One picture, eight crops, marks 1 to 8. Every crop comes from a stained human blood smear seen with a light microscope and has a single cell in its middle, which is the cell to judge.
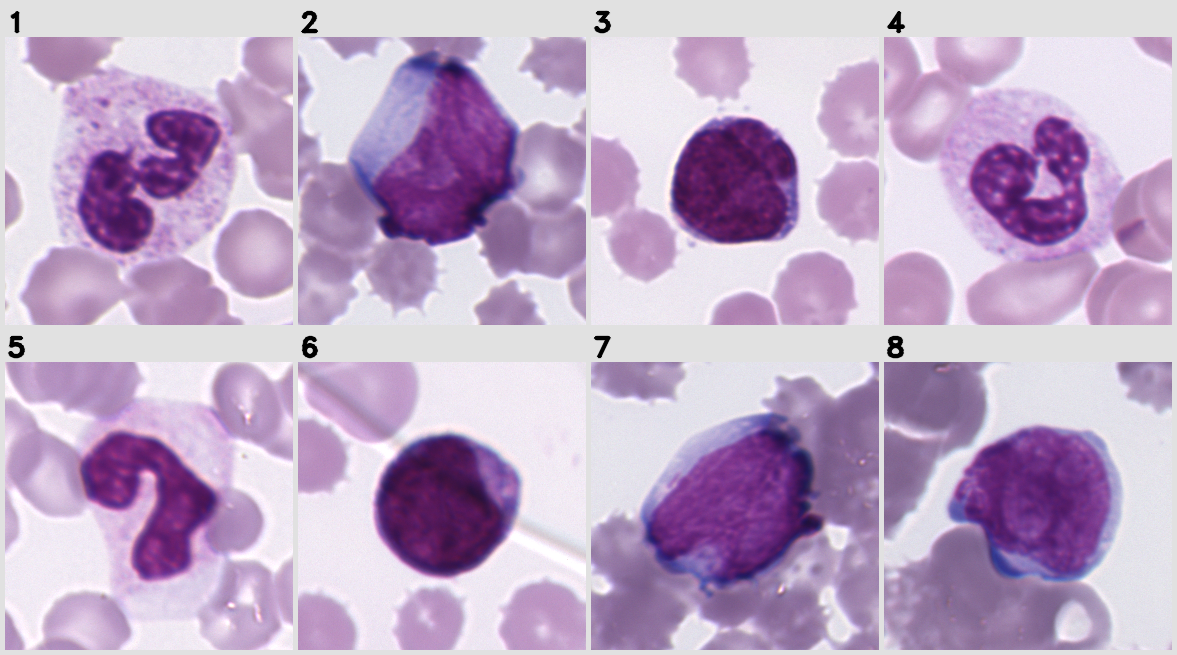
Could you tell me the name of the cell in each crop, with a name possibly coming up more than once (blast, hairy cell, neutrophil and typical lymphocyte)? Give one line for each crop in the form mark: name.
1: neutrophil
2: blast
3: blast
4: neutrophil
5: neutrophil
6: blast
7: blast
8: blast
